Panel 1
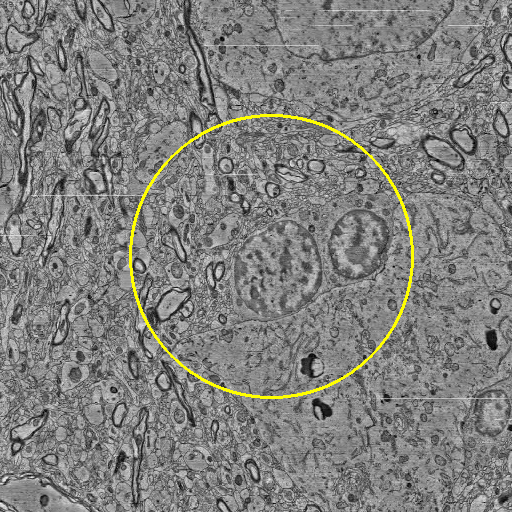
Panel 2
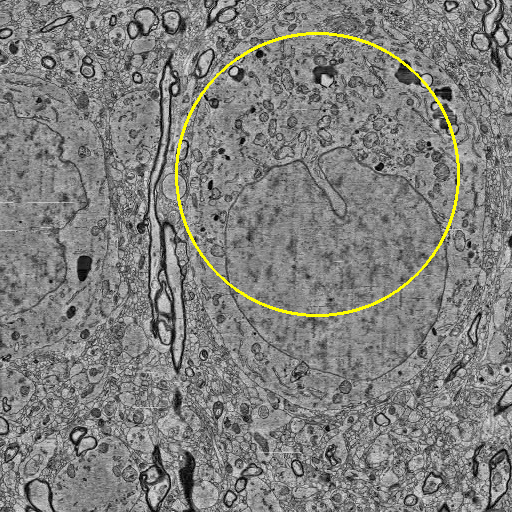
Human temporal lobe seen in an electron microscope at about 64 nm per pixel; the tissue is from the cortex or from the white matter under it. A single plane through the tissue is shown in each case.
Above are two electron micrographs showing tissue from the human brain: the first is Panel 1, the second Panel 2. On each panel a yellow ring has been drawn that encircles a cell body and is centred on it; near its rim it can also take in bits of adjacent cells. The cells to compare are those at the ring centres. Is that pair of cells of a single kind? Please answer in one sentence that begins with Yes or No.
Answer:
No, the ring-centred cells of Panel 1 and Panel 2 belong to two kinds.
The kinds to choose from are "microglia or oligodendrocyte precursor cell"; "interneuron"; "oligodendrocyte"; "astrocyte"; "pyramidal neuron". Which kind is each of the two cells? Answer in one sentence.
Of the two, the first cell is a microglial cell or oligodendrocyte precursor cell and the second cell is a pyramidal neuron.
